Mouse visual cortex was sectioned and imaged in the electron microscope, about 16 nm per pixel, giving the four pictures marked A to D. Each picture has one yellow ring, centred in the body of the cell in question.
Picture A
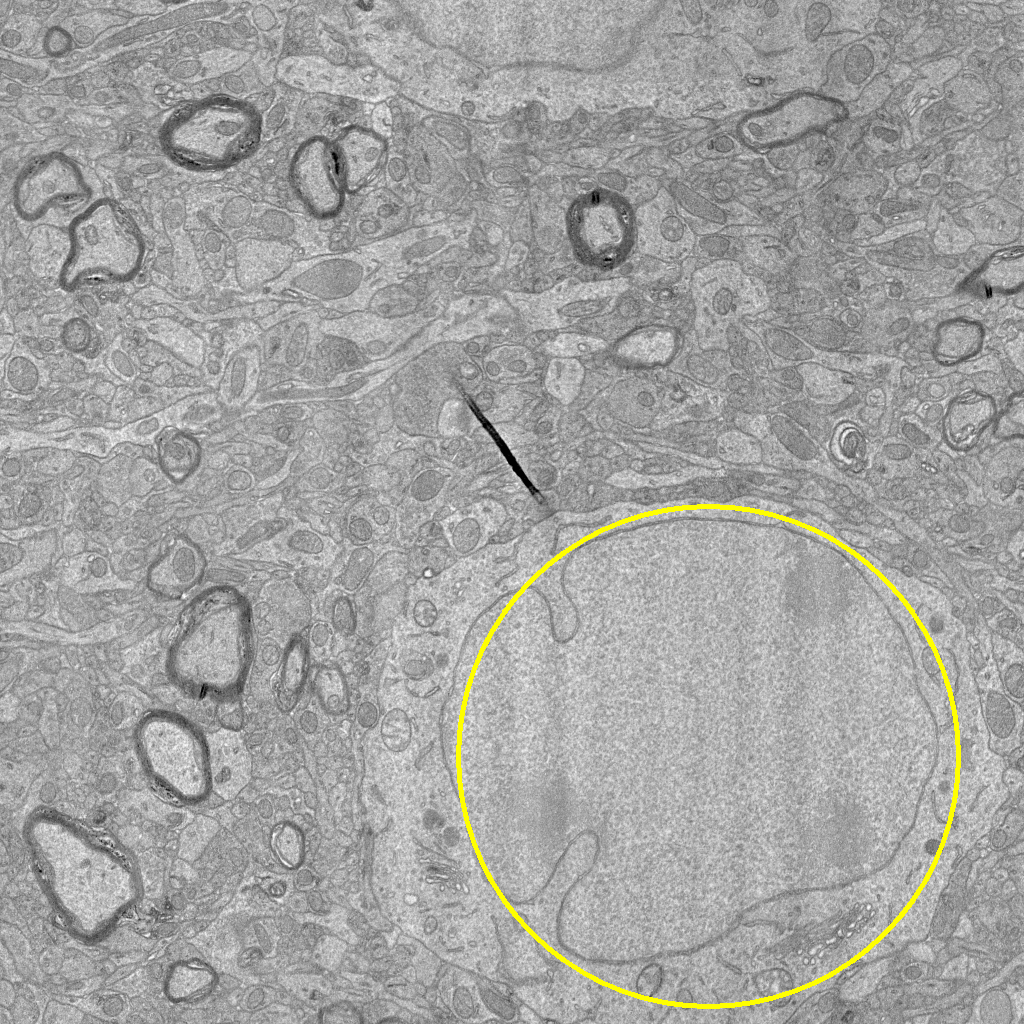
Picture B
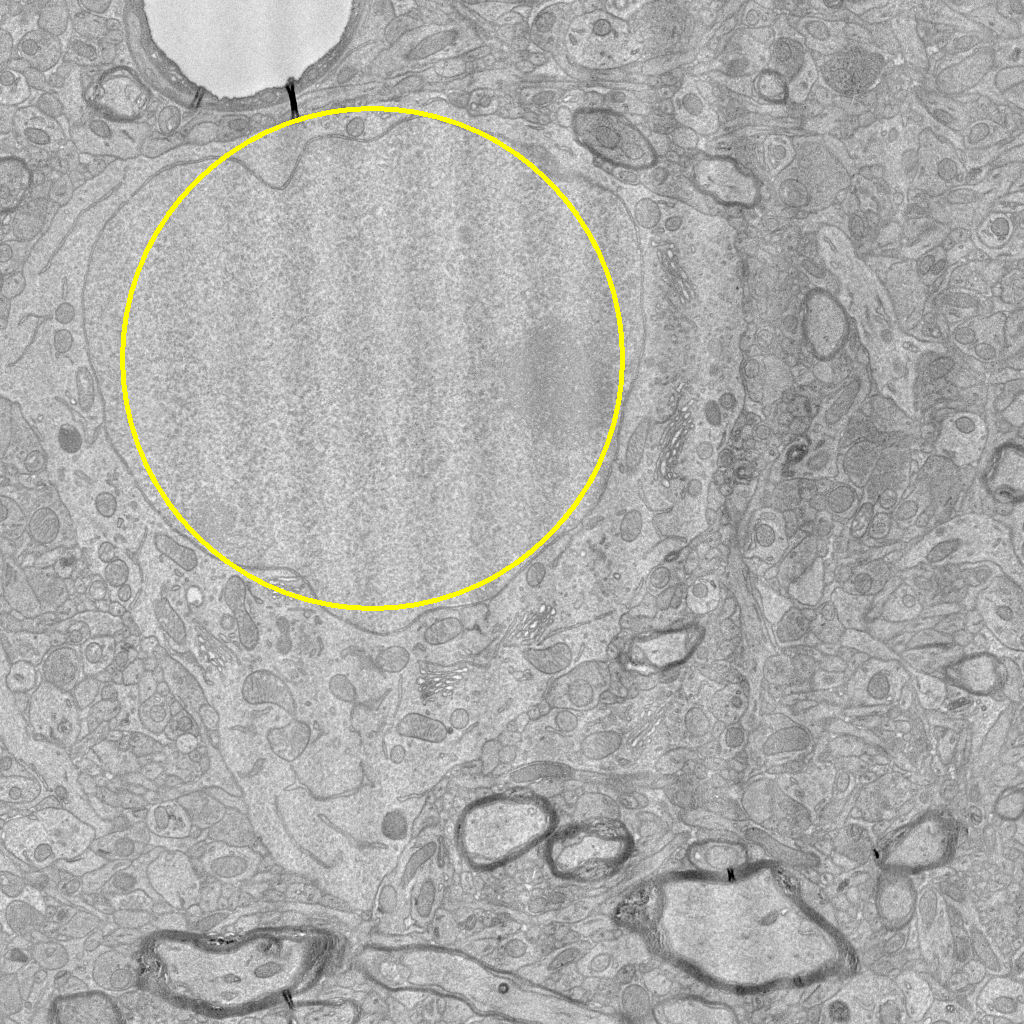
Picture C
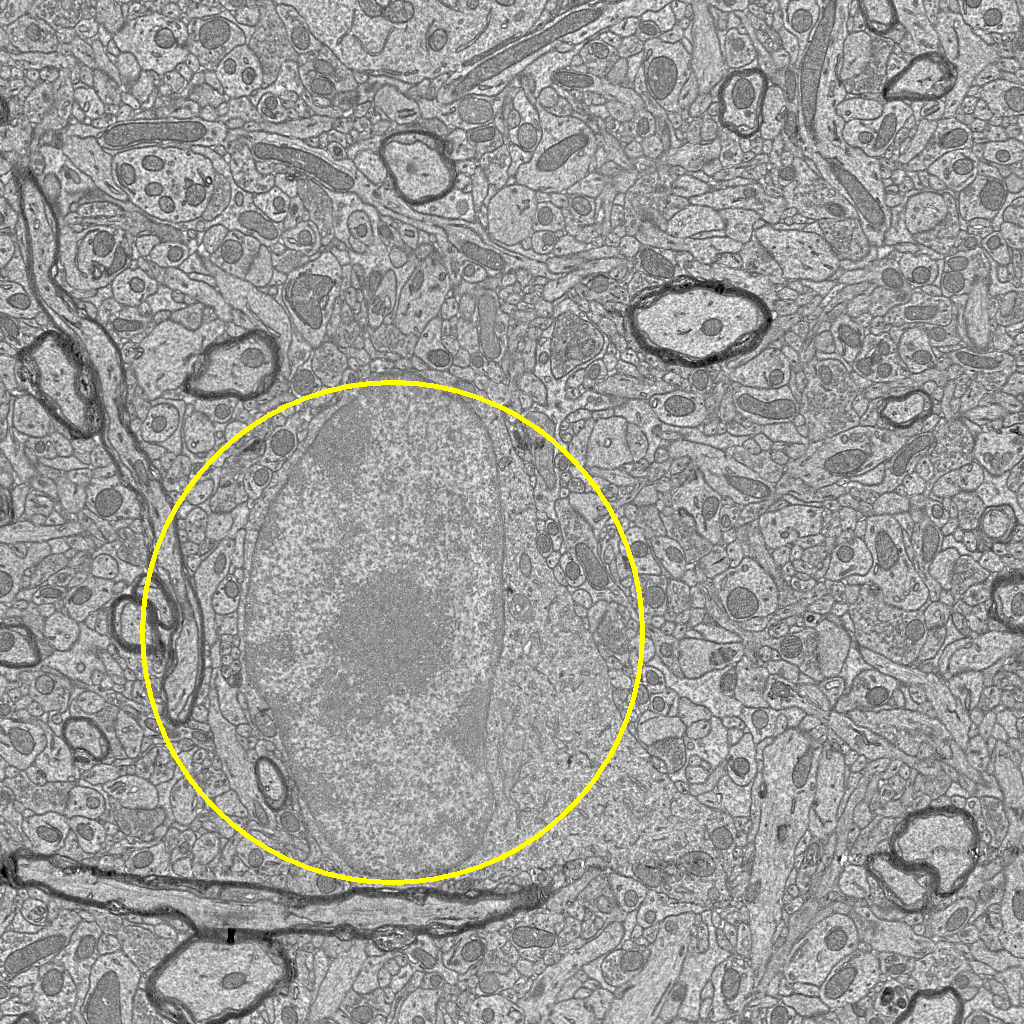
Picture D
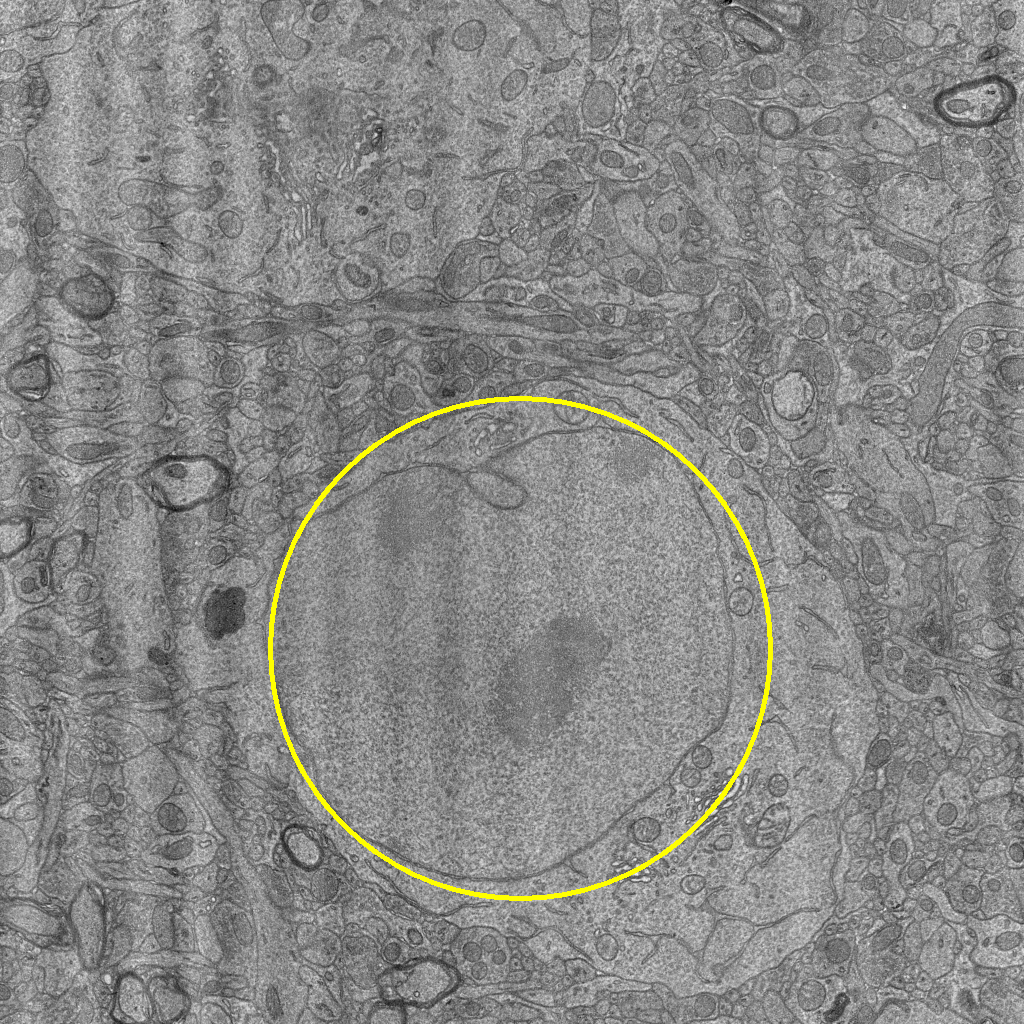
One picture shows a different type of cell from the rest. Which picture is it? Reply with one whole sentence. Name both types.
The others show excitatory neurons, but picture C shows an oligodendrocyte.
